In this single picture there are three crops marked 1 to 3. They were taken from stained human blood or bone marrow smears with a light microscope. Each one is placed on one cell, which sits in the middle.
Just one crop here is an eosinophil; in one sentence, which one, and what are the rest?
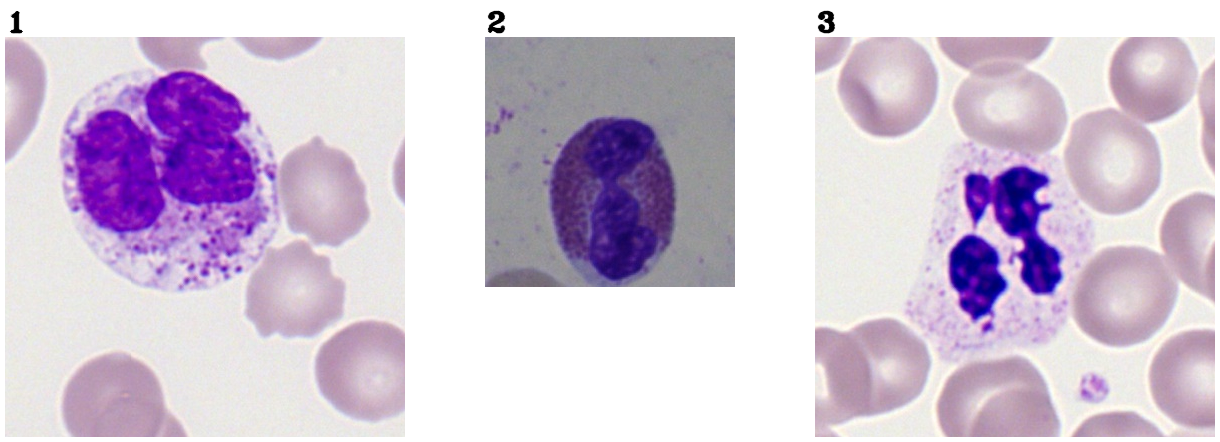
In the series, crop 2 depicts an eosinophil, while crop 1 is a basophil and crop 3 is a segmented neutrophil.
